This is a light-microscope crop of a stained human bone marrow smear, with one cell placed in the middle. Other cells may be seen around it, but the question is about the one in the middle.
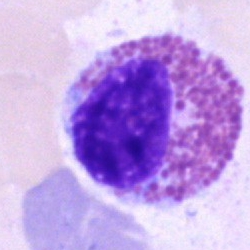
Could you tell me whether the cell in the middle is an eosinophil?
yes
